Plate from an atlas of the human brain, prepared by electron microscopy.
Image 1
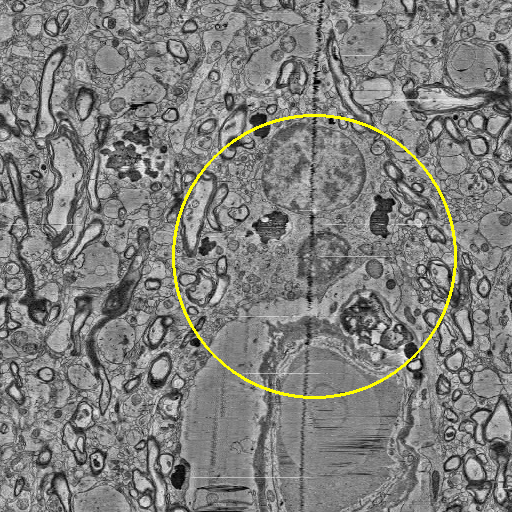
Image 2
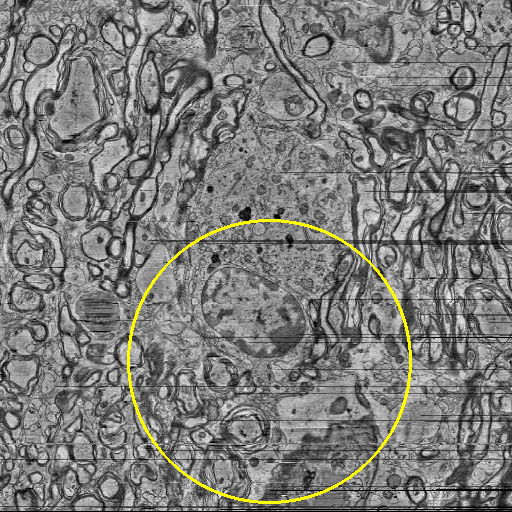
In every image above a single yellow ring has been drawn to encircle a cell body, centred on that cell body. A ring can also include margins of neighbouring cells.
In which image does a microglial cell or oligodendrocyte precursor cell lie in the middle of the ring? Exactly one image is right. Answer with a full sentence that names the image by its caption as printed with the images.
Image 2 holds the requested cell at the very centre of its ring.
